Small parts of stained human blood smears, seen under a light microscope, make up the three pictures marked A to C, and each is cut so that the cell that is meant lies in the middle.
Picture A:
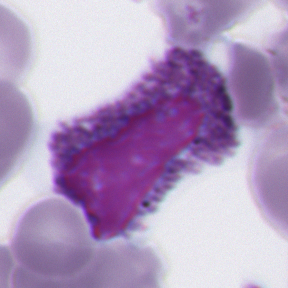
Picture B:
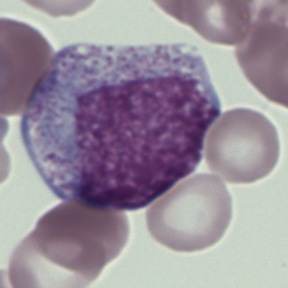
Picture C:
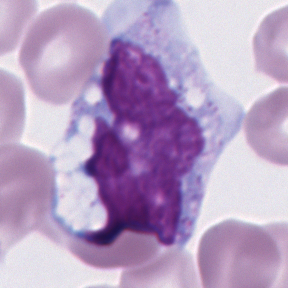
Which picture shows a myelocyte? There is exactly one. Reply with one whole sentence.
It is picture B that shows the myelocyte.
